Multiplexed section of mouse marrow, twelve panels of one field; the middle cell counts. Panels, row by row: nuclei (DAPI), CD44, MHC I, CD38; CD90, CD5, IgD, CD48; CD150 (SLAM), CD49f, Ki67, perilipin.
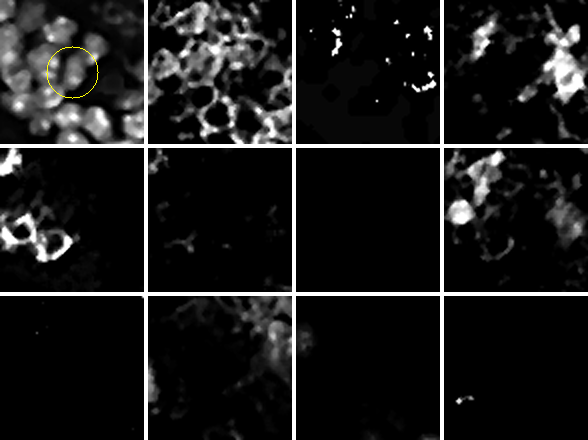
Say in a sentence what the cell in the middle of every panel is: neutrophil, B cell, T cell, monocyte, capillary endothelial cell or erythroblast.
This is a neutrophil.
